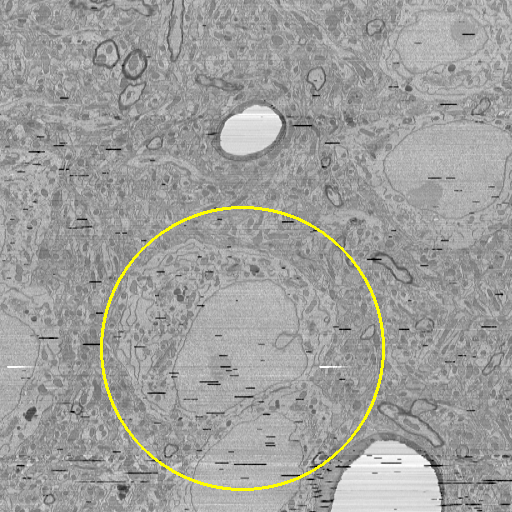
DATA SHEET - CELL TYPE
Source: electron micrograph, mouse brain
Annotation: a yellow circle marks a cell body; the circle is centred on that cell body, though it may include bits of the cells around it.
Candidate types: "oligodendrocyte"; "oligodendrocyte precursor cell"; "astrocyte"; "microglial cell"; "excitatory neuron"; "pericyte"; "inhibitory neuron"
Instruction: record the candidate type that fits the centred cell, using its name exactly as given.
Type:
inhibitory neuron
